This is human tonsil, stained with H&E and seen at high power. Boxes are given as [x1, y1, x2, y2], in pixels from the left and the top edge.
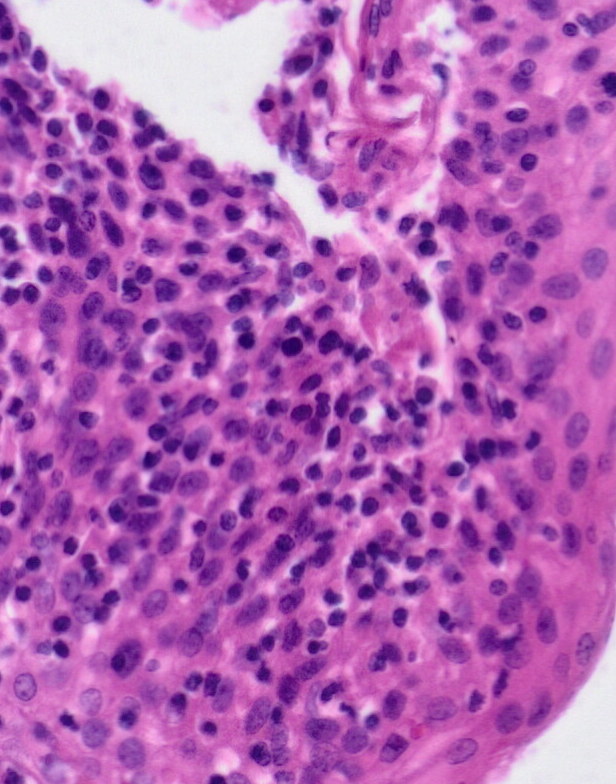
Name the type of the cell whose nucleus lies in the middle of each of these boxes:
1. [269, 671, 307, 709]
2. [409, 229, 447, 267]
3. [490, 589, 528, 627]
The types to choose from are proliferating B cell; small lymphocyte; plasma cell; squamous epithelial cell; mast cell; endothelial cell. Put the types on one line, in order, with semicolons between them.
squamous epithelial cell; plasma cell; squamous epithelial cell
